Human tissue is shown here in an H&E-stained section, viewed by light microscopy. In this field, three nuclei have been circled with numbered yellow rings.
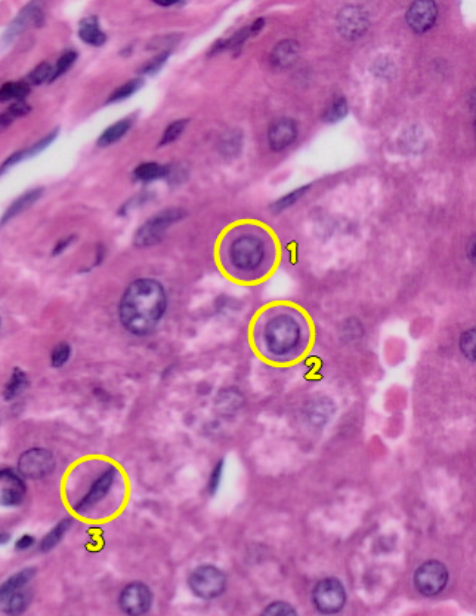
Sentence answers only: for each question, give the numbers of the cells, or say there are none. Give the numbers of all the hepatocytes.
The cells with labels 1 and 2 are hepatocytes.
